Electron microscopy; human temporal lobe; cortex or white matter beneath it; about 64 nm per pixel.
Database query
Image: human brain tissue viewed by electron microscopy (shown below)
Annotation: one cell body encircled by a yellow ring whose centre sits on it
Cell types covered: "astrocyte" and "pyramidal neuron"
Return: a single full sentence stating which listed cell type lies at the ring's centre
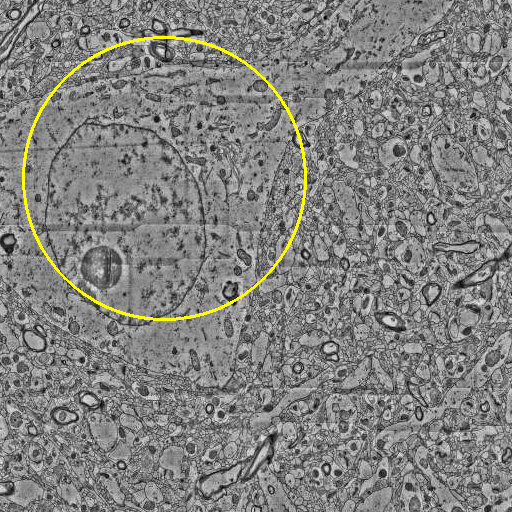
In the image, the cell lying at the ring's centre is a pyramidal neuron.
